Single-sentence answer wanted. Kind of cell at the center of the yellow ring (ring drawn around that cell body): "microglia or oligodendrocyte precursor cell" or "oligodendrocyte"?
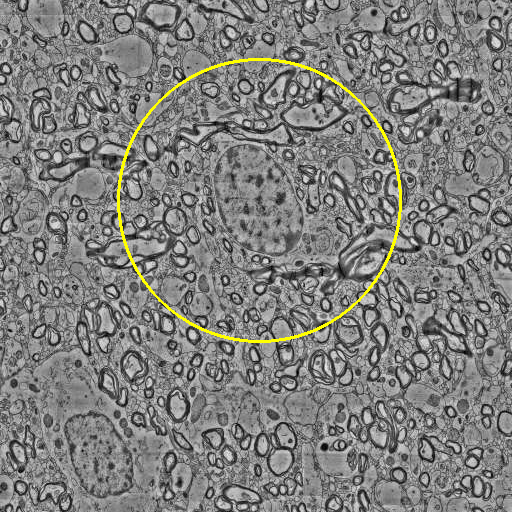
The cell centered in the ring is a microglial cell or oligodendrocyte precursor cell.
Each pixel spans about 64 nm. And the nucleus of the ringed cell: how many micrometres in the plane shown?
The nucleus appears roughly 8 by 5 micrometres in this plane.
